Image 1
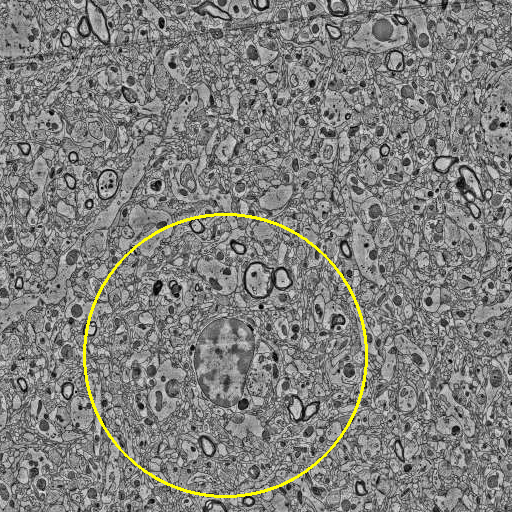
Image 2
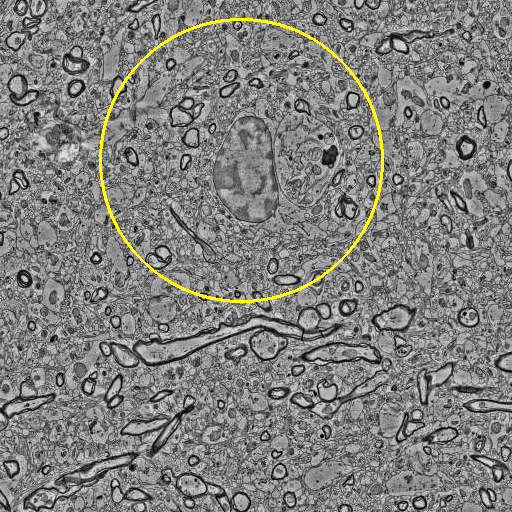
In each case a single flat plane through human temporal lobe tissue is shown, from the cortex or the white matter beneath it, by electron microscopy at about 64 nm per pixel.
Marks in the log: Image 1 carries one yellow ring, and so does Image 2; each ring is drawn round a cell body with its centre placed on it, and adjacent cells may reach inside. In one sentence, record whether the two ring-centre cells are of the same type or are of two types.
The two cells at the ring centres, one in each image, are of the same type.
